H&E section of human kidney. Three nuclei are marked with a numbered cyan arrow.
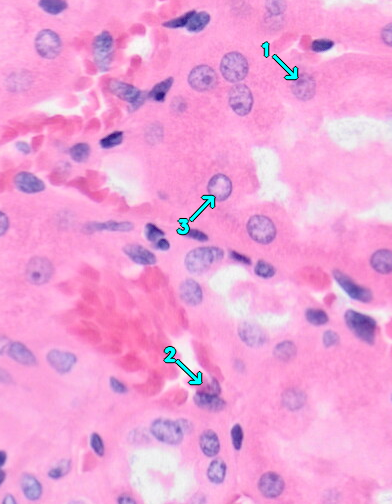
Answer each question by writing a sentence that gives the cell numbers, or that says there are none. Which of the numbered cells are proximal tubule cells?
The cells given the numbers 1 and 3 are proximal tubule cells.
